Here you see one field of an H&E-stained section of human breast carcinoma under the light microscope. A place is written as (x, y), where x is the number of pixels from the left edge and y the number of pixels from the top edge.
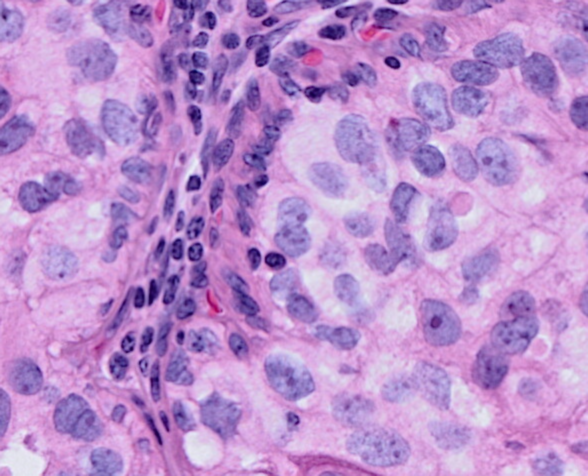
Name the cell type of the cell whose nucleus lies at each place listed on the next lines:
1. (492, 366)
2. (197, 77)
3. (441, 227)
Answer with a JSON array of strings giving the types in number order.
["carcinoma cell", "lymphocyte", "carcinoma cell"]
